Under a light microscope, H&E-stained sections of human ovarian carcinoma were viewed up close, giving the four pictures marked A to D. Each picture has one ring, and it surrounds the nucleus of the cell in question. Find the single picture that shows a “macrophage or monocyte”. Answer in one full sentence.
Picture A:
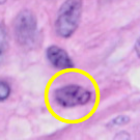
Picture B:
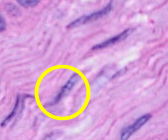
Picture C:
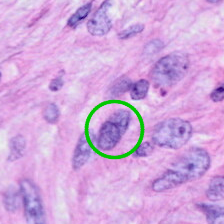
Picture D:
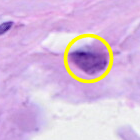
The picture with the “macrophage or monocyte” is A.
